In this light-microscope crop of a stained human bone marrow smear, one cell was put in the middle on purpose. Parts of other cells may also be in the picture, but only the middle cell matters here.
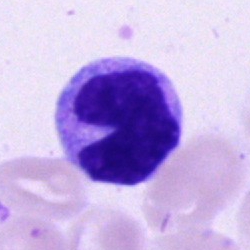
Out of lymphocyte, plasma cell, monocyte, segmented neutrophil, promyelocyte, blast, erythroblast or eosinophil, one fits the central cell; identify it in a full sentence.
The central cell shown in this smear crop is a monocyte.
